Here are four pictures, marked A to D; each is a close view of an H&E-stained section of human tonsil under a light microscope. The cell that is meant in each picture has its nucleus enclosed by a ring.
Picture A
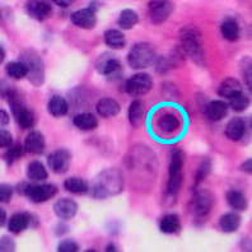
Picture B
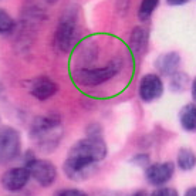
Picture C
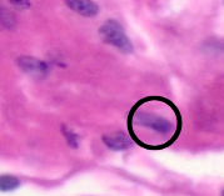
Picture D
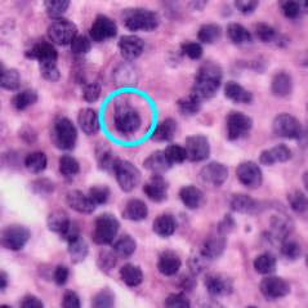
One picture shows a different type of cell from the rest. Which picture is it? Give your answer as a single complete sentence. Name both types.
Unlike the rest, which show endothelial cells, picture D shows a proliferating B cell.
